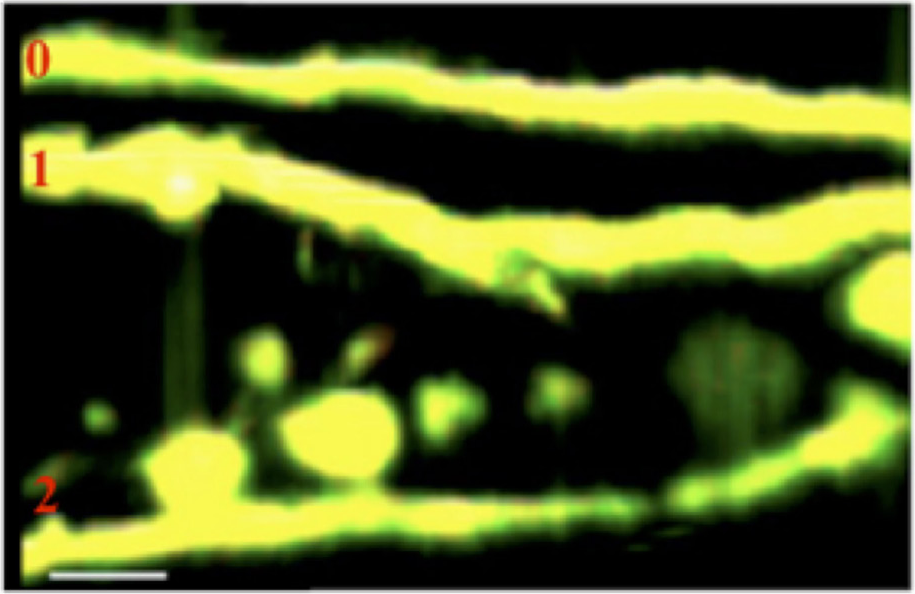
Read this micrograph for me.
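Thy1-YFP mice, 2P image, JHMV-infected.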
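Three long fluorescent axons run horizontally across the field, shown yellow-green on a dark background. The upper two are continuous, of fairly even calibre, with only slight irregularity of their outlines. The lowest axon carries several round, bulbous swellings of differing size along and just beside its course, some as large as several axon widths. Small faint fibres and dots lie scattered between the axons.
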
